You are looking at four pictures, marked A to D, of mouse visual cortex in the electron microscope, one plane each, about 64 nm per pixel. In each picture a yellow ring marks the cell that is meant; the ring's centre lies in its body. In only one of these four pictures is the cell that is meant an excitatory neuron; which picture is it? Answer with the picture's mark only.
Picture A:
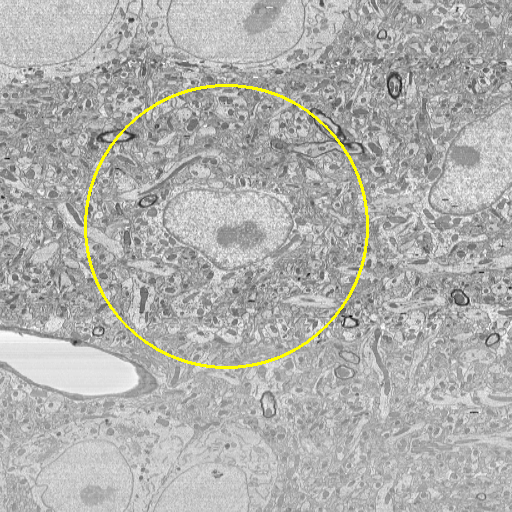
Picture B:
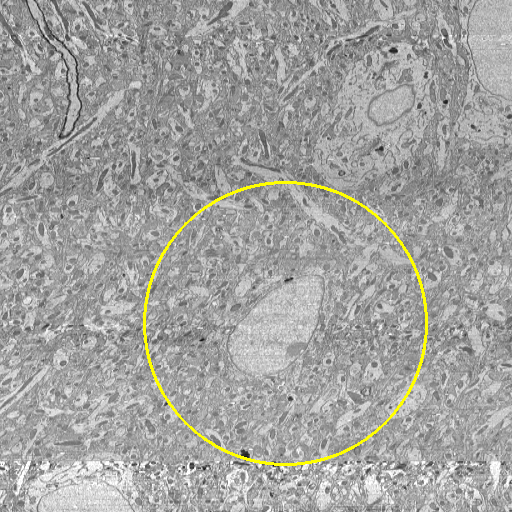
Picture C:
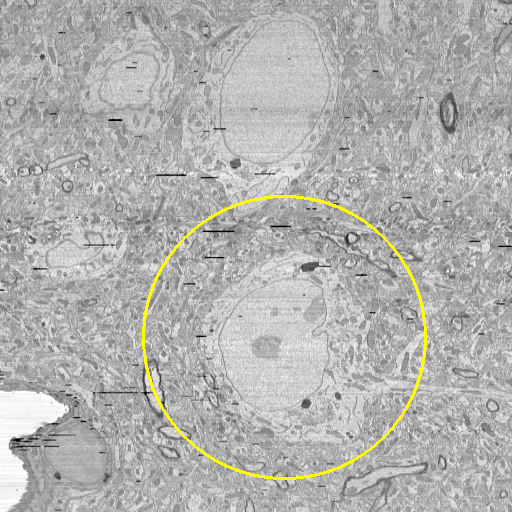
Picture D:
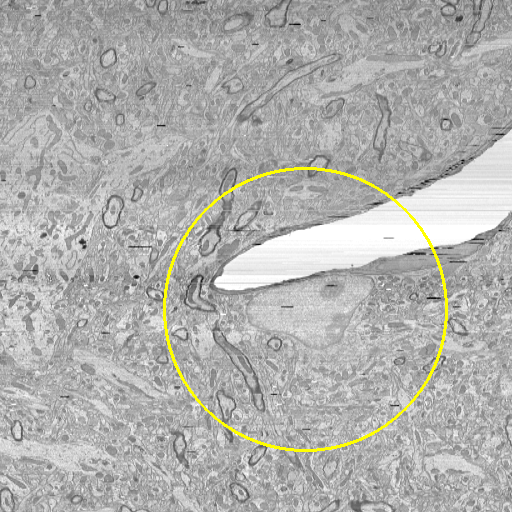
C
